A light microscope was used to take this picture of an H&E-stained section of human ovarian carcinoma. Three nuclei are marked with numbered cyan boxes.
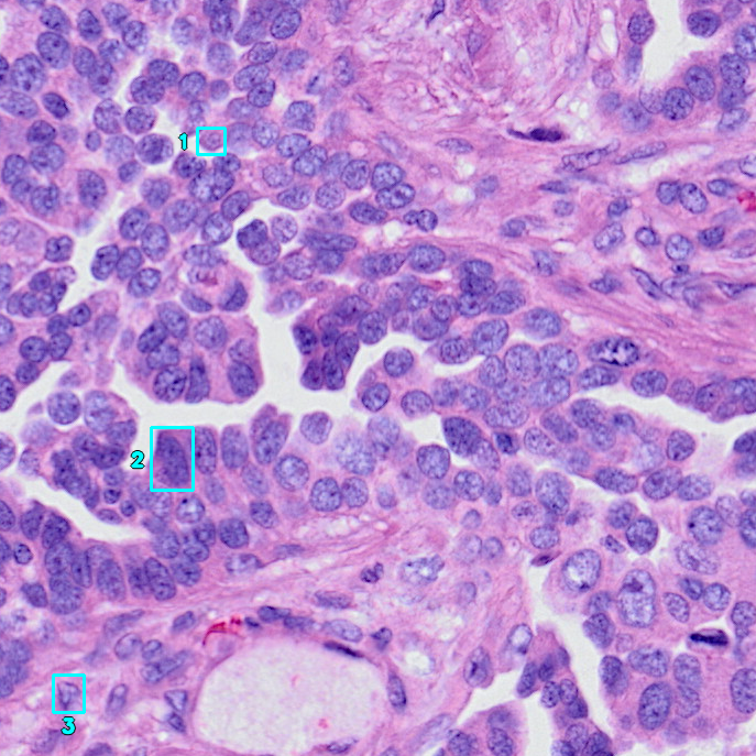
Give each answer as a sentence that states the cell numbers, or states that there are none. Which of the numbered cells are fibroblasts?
Response: cell 3 is a fibroblast, and no other numbered cell is.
